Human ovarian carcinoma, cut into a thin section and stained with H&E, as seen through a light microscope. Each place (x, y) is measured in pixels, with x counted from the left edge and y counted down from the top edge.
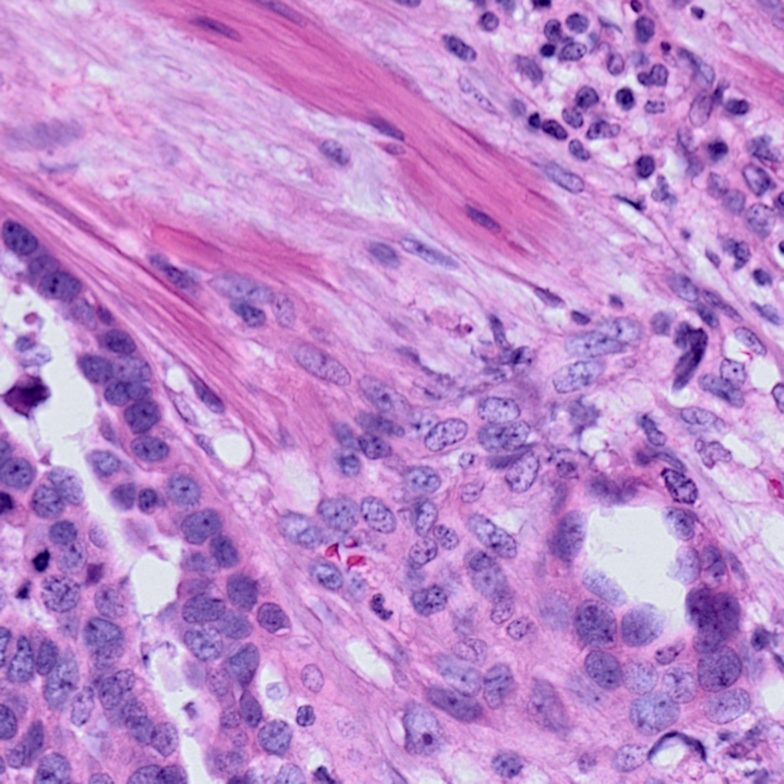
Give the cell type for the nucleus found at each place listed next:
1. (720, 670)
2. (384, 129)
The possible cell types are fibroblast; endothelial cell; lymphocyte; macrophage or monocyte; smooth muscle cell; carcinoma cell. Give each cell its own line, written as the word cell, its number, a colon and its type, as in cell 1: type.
cell 1: carcinoma cell
cell 2: smooth muscle cell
